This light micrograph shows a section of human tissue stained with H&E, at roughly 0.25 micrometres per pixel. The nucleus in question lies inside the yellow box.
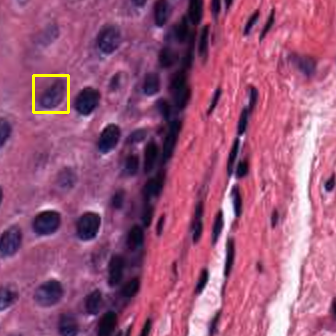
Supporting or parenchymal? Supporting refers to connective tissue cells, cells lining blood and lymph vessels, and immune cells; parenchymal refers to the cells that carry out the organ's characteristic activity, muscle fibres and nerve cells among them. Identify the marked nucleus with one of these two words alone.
parenchymal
